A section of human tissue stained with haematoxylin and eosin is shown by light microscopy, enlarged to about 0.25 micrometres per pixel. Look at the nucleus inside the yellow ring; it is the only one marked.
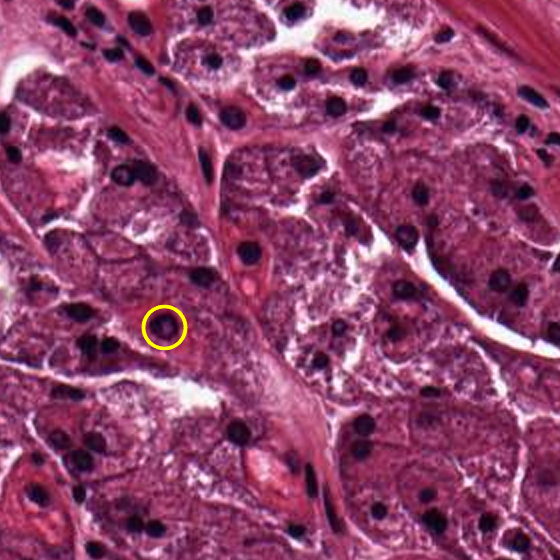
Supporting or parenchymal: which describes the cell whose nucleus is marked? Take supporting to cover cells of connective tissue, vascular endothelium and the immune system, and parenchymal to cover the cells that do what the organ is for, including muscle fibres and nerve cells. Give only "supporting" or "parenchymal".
parenchymal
